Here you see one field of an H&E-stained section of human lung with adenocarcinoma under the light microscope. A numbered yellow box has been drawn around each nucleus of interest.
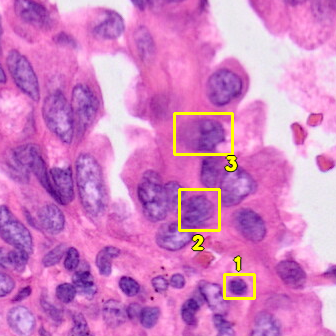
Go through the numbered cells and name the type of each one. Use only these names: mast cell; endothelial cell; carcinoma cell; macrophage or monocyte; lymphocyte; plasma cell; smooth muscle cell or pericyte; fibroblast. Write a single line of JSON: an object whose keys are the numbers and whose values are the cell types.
{"1": "lymphocyte", "2": "carcinoma cell", "3": "carcinoma cell"}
